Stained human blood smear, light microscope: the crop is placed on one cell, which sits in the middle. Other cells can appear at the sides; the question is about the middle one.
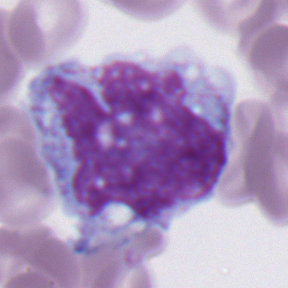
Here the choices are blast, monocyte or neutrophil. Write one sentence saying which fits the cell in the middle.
Occupying the centre of the crop is a monocyte.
